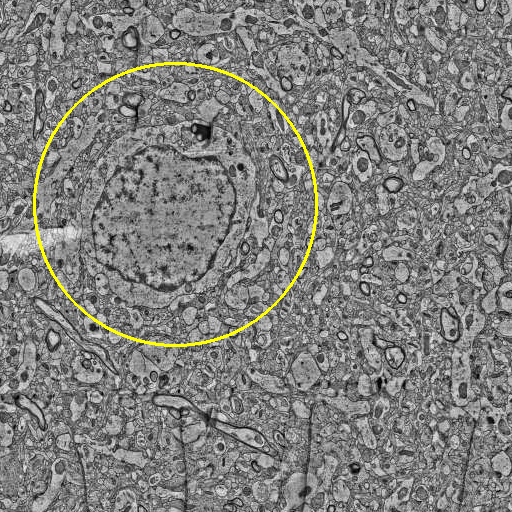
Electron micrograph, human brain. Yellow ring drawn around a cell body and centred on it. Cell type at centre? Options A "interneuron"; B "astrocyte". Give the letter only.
A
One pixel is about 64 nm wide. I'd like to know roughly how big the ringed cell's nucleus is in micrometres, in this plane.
The ringed cell's nucleus is about 9 micrometres across in this plane.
